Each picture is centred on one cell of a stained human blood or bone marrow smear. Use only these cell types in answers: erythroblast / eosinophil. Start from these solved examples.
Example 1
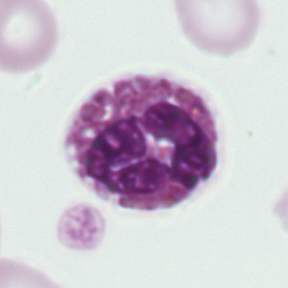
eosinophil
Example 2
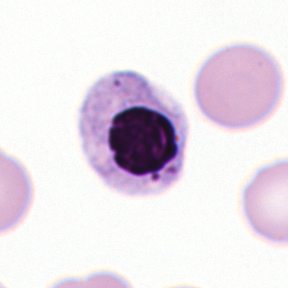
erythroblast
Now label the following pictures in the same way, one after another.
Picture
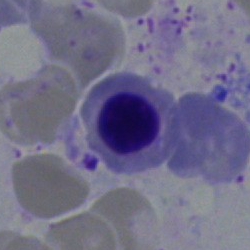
erythroblast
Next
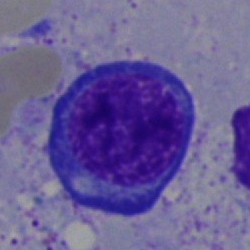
erythroblast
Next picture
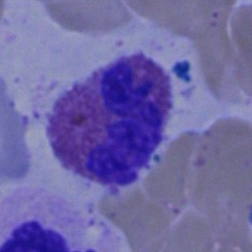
eosinophil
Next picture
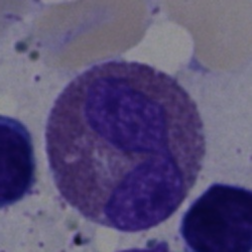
eosinophil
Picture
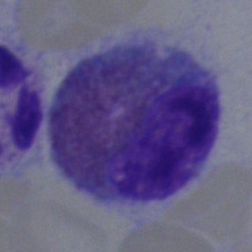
eosinophil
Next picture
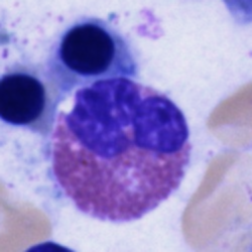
eosinophil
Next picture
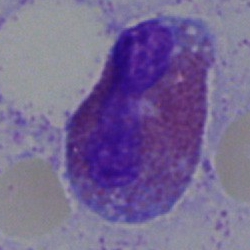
eosinophil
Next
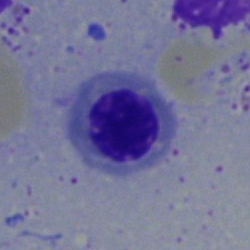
erythroblast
